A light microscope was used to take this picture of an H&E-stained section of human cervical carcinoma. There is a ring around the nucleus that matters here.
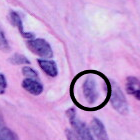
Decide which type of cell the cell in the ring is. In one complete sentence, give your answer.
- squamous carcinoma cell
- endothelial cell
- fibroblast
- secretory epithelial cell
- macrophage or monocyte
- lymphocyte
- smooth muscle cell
The correct response here is that the cell in the ring is a fibroblast.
